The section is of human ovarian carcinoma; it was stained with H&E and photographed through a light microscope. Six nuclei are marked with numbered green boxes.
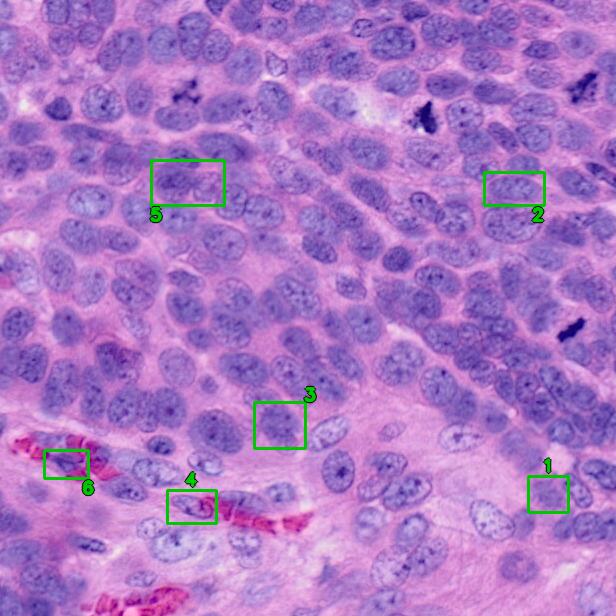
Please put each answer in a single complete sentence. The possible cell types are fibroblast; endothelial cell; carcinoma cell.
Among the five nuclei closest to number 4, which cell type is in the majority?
Of the five nuclei nearest to number 4, most belong to fibroblasts.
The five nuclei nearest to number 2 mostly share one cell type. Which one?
Of the five nuclei nearest to number 2, most belong to carcinoma cells.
